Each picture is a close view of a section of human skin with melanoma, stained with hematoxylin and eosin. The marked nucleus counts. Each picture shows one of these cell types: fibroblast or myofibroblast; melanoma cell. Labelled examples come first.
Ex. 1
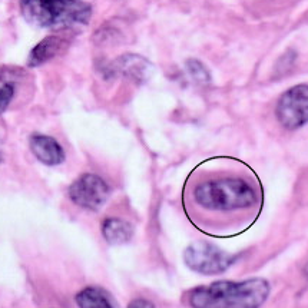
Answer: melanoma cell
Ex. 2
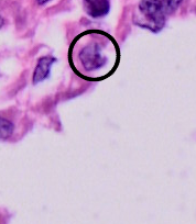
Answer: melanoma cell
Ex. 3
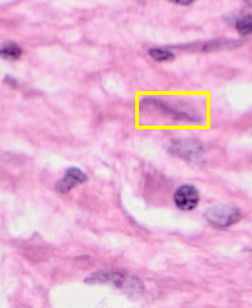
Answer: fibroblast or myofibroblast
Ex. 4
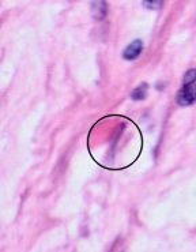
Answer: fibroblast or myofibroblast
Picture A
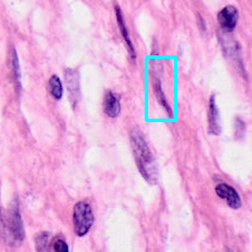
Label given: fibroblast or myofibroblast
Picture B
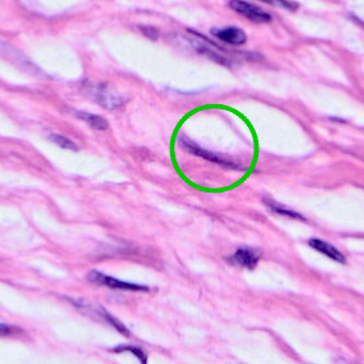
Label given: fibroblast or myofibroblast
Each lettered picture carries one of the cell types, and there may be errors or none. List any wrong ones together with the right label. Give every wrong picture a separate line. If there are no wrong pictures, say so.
Nothing to fix; every label fits.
